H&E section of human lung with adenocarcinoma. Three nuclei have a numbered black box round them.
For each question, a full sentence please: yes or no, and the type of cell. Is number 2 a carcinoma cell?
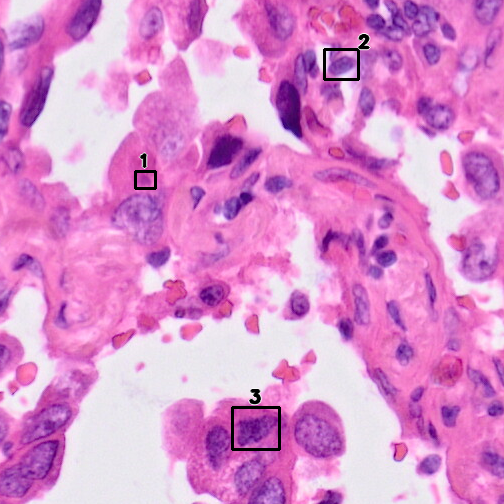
No. Cell number 2 is a lymphocyte, not a carcinoma cell.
